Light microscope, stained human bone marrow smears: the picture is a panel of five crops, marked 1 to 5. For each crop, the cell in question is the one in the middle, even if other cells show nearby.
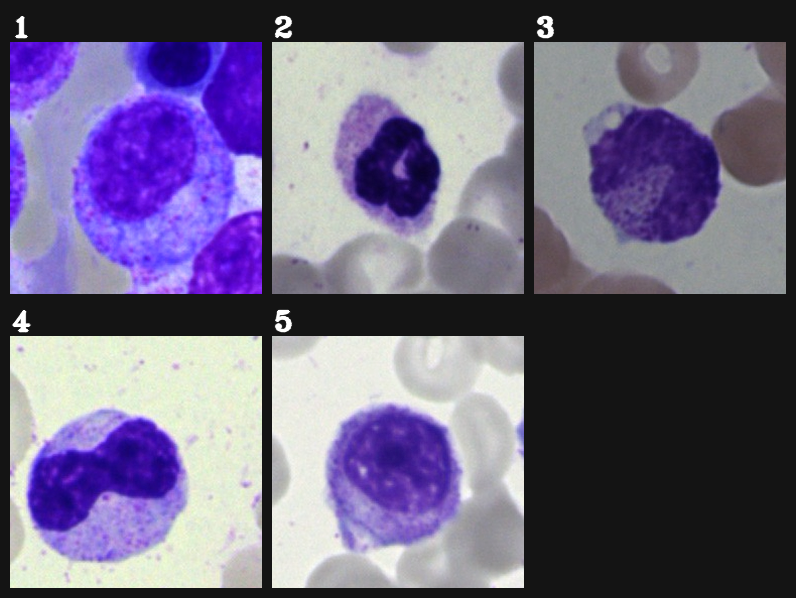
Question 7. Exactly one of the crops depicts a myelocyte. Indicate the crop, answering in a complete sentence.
The sole crop showing a myelocyte is crop 5.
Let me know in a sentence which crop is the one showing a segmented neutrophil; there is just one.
Of all the crops, crop 2 is the one showing a segmented neutrophil.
